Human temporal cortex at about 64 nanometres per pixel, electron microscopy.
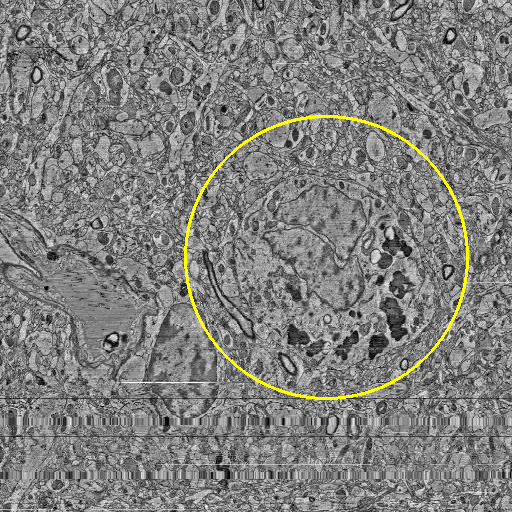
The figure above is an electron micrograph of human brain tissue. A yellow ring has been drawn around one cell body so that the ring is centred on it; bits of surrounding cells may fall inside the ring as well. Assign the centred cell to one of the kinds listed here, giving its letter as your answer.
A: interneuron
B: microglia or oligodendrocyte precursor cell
A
